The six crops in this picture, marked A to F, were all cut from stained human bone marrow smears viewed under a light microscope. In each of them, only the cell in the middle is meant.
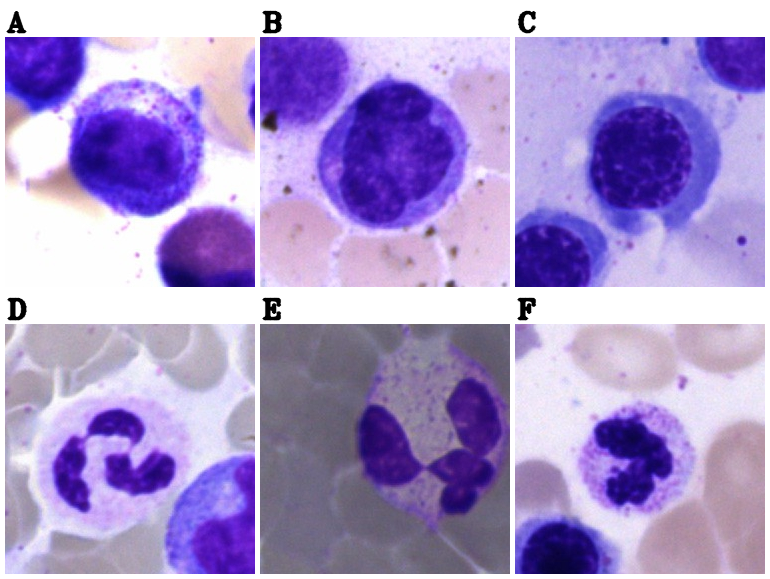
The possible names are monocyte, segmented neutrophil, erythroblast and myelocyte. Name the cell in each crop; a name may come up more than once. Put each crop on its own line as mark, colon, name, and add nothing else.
A: myelocyte
B: monocyte
C: erythroblast
D: segmented neutrophil
E: segmented neutrophil
F: segmented neutrophil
